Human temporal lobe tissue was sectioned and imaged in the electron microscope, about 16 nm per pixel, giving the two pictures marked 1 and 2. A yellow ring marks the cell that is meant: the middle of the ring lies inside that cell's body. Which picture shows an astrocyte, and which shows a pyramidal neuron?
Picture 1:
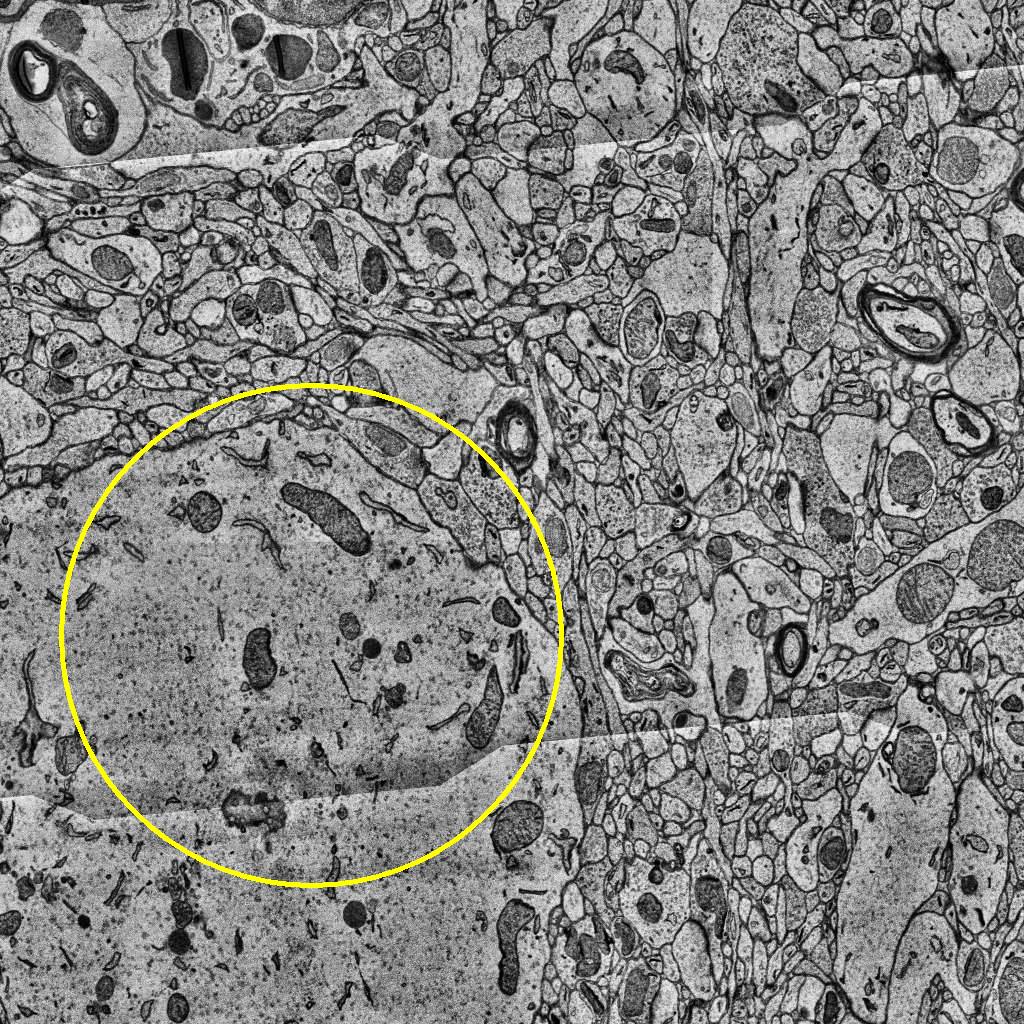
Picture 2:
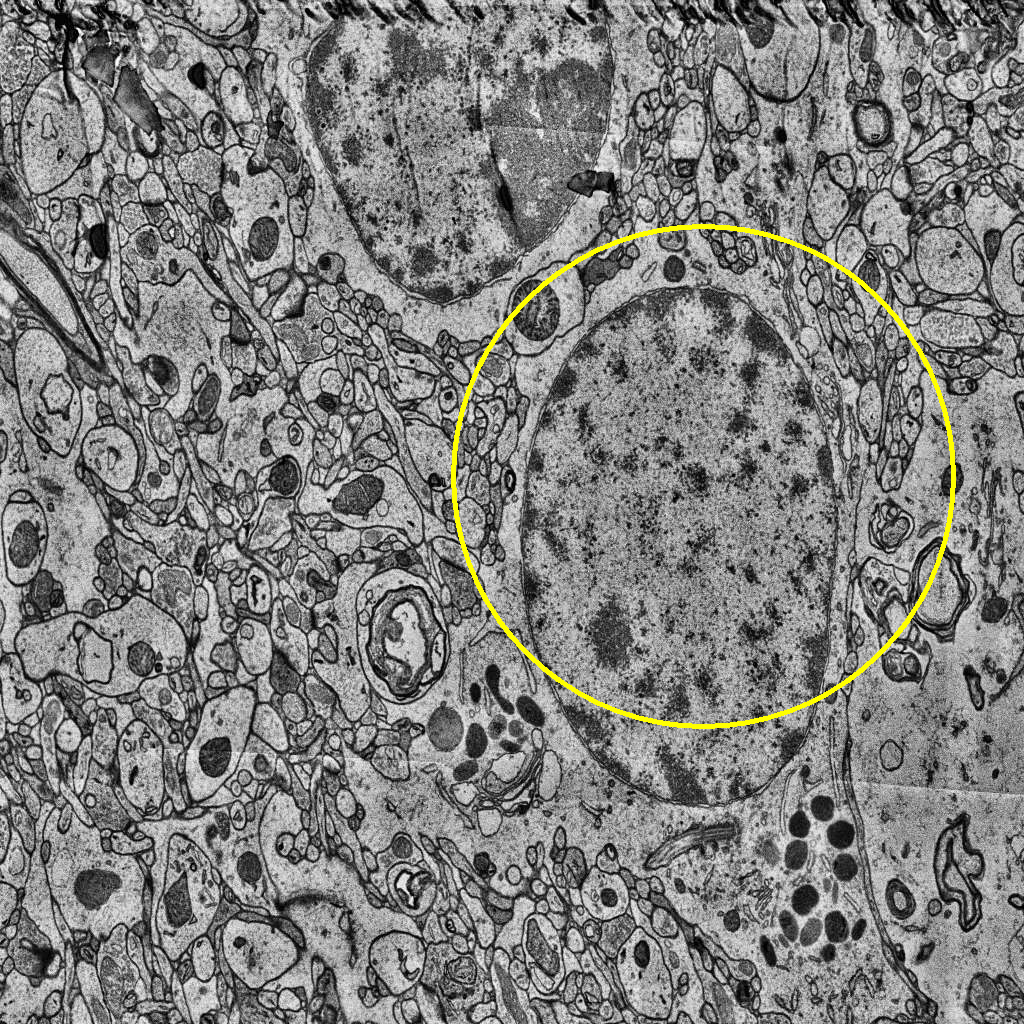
In picture 1 the cell is a pyramidal neuron; in picture 2, an astrocyte.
